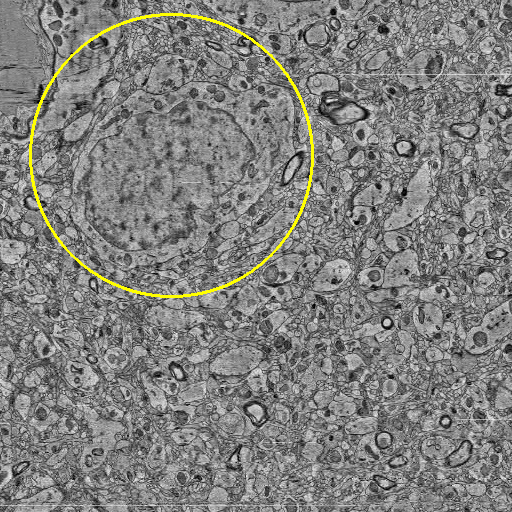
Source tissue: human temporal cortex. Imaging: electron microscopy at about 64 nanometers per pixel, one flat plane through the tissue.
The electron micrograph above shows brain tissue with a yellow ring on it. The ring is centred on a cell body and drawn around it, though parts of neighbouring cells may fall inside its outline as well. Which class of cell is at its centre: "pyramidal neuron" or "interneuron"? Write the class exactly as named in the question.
interneuron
